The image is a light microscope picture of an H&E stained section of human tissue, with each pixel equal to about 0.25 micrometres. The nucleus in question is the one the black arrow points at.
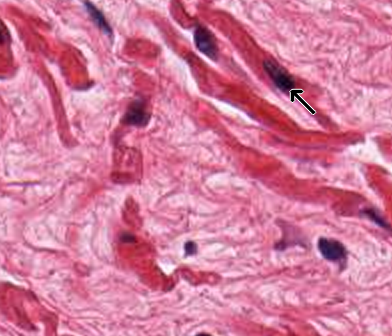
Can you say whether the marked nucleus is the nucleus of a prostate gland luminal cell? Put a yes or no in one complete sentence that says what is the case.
No, the marked nucleus does not lie within a prostate gland luminal cell.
